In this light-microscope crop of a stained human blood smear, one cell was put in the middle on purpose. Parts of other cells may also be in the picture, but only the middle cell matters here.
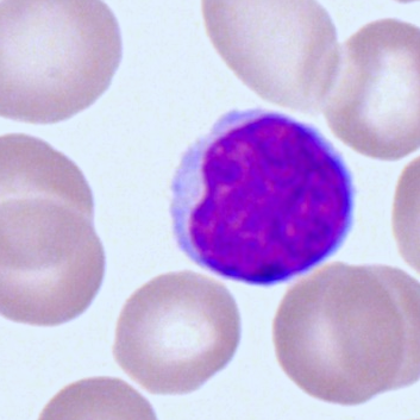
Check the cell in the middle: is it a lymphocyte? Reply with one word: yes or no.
yes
